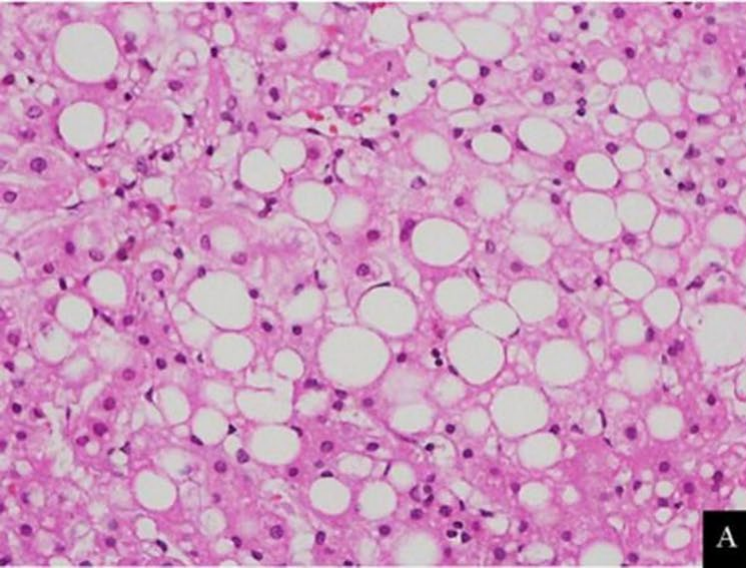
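This is liver parenchyma in which a large share of the hepatocytes are laden with fat. The vacuoles range widely in size, from tiny to nearly the full width of a cell, and lie packed side by side, so the normal plate arrangement is hard to follow. The dark purple nuclei are small and round and lie between or beside the vacuoles rather than centrally.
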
